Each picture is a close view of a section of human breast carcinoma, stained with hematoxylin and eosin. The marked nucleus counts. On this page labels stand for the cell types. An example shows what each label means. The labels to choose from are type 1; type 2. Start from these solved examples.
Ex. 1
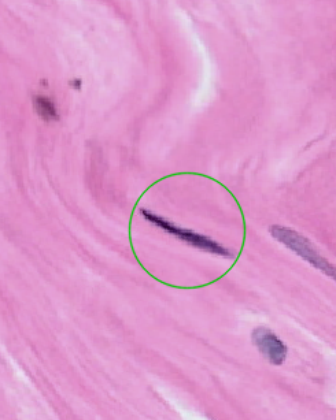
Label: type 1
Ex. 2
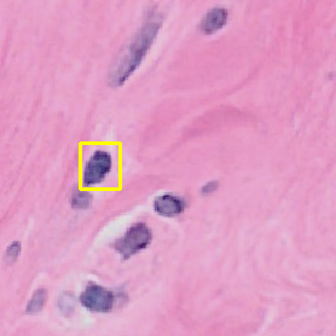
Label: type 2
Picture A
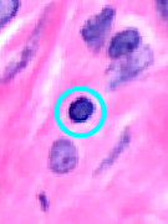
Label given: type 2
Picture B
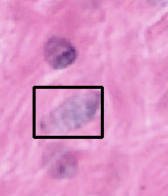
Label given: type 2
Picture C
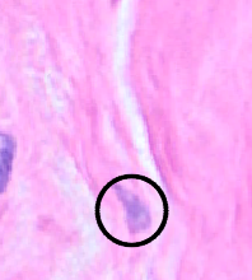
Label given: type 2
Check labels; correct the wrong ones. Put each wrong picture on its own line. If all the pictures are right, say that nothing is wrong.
B: type 1, not type 2
C: type 1, not type 2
